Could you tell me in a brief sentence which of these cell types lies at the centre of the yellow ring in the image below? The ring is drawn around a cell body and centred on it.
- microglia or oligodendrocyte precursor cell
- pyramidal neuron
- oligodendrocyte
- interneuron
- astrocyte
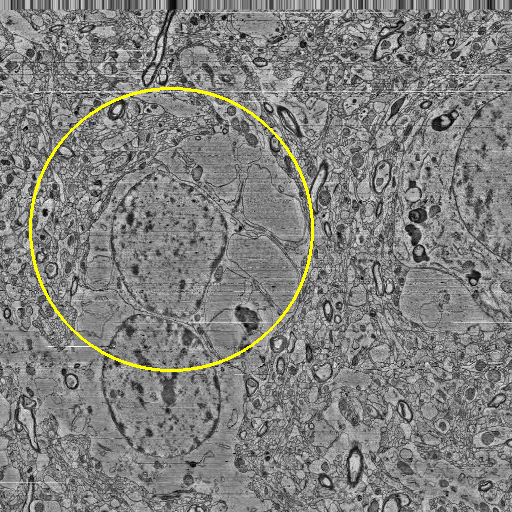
The cell centred in the ring is an astrocyte.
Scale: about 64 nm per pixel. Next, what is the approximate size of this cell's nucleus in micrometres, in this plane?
In this plane the nucleus spans approximately 10 by 8 micrometers.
